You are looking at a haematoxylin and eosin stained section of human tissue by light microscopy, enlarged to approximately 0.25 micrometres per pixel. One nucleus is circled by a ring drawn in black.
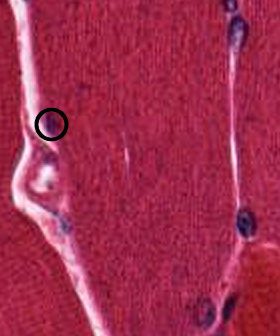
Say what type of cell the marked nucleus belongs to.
skeletal muscle fibre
